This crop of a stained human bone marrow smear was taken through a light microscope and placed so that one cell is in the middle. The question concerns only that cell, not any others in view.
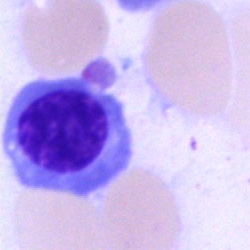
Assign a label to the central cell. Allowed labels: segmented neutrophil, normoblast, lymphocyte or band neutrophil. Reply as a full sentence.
In this smear crop, the middle cell is a normoblast.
